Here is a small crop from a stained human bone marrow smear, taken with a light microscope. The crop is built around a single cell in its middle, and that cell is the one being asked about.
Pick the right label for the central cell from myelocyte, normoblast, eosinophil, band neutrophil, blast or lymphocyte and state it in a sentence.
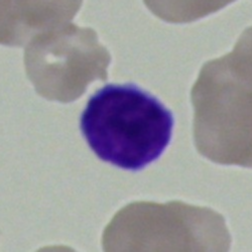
The centrally positioned cell in the crop represents a lymphocyte.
